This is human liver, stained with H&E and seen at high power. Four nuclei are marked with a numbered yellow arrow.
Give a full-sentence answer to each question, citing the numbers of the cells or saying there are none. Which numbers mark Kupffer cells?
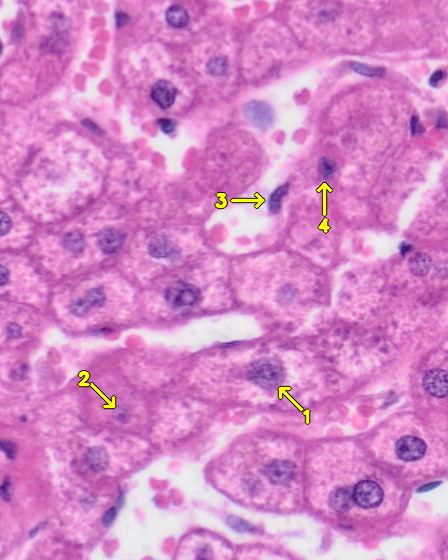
Among the numbered cells, a Kupffer cell occurs only once, as cell 3.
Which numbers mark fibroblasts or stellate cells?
Of all the numbered cells, only cell 4 is a fibroblast or stellate cell.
